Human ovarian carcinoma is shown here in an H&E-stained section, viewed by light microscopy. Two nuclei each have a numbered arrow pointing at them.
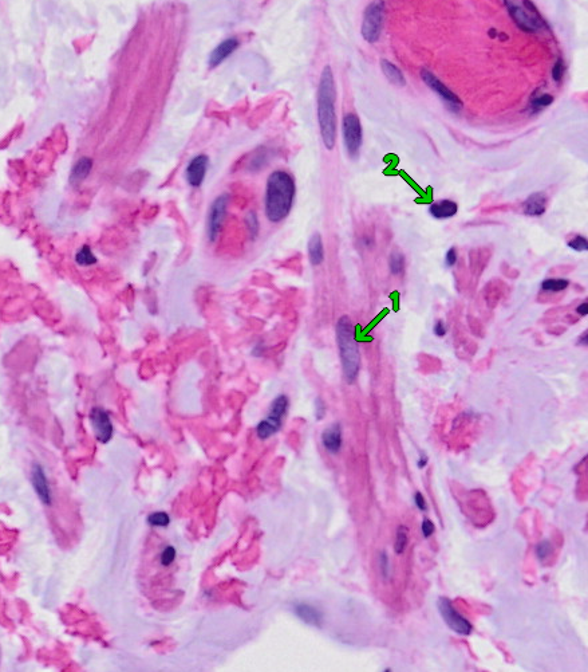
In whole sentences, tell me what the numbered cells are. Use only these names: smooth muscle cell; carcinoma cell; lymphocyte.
Cell 1 is a smooth muscle cell. Cell 2 is a lymphocyte.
